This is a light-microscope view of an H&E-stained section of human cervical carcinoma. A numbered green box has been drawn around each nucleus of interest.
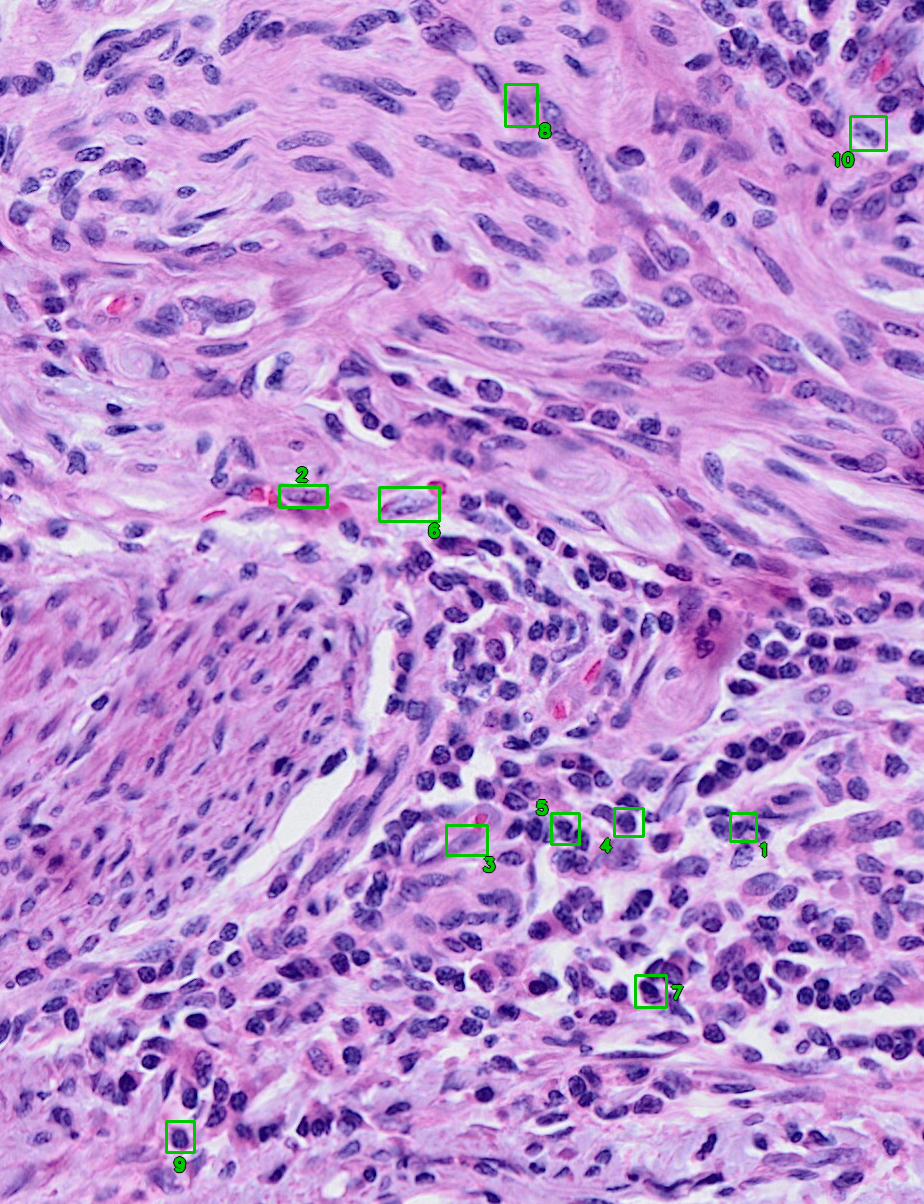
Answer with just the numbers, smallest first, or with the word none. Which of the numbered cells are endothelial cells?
2, 3, 6, 8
